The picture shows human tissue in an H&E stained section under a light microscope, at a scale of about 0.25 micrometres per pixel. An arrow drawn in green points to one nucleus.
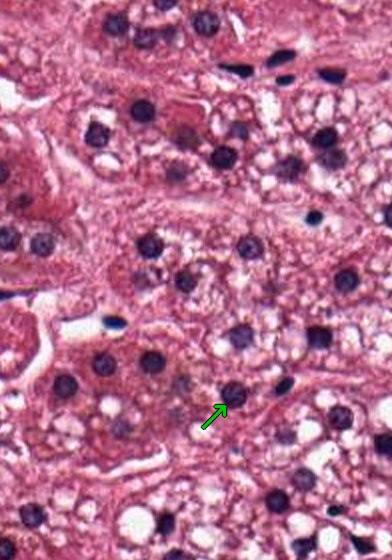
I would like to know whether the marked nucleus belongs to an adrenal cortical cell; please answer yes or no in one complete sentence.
Yes, the marked nucleus is that of an adrenal cortical cell.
